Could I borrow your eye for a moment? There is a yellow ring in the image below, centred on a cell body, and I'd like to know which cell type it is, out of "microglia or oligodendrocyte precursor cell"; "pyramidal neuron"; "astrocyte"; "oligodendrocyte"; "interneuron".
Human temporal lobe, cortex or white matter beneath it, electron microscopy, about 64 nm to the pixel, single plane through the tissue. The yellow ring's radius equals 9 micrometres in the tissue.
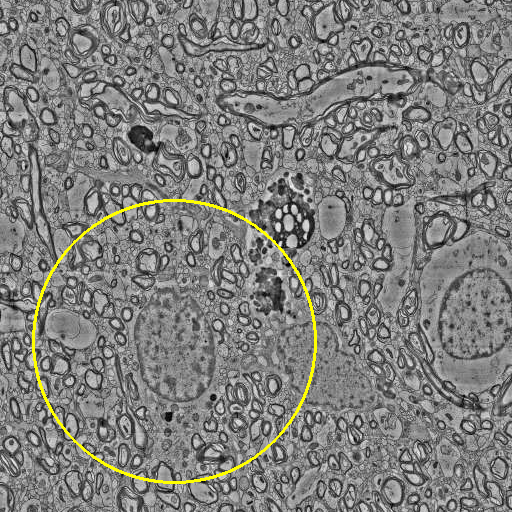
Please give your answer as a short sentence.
The cell body at the centre is that of an oligodendrocyte.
